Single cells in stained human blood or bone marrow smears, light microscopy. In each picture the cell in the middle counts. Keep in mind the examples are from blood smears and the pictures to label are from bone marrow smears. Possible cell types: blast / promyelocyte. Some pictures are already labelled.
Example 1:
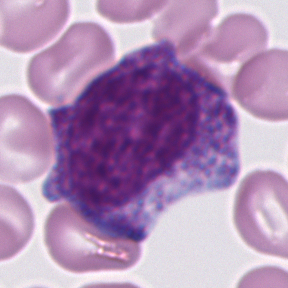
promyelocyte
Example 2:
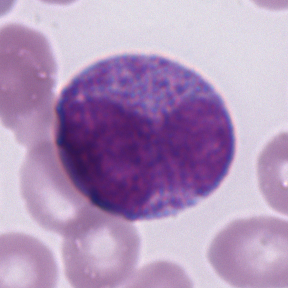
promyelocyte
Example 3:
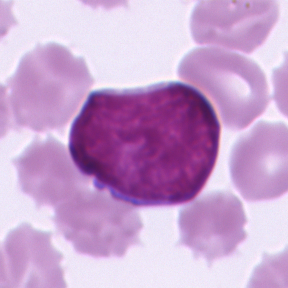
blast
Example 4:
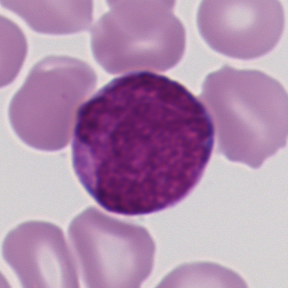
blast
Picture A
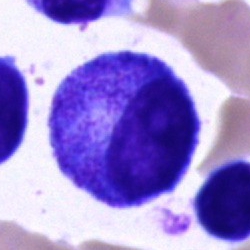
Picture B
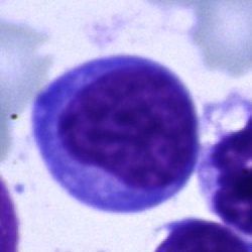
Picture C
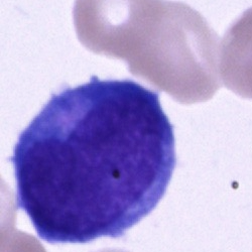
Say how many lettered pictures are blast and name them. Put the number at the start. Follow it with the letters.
Count: 2 (B, C)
